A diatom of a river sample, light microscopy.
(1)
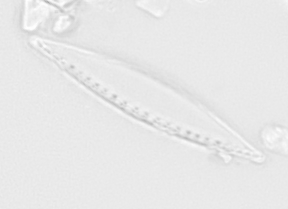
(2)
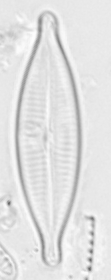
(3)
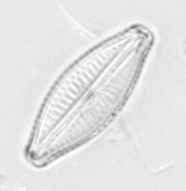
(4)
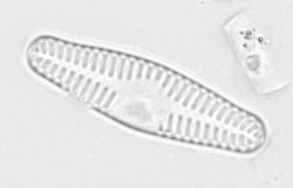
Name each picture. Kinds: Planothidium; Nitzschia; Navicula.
1: Nitzschia
2: Navicula
3: Navicula
4: Planothidium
